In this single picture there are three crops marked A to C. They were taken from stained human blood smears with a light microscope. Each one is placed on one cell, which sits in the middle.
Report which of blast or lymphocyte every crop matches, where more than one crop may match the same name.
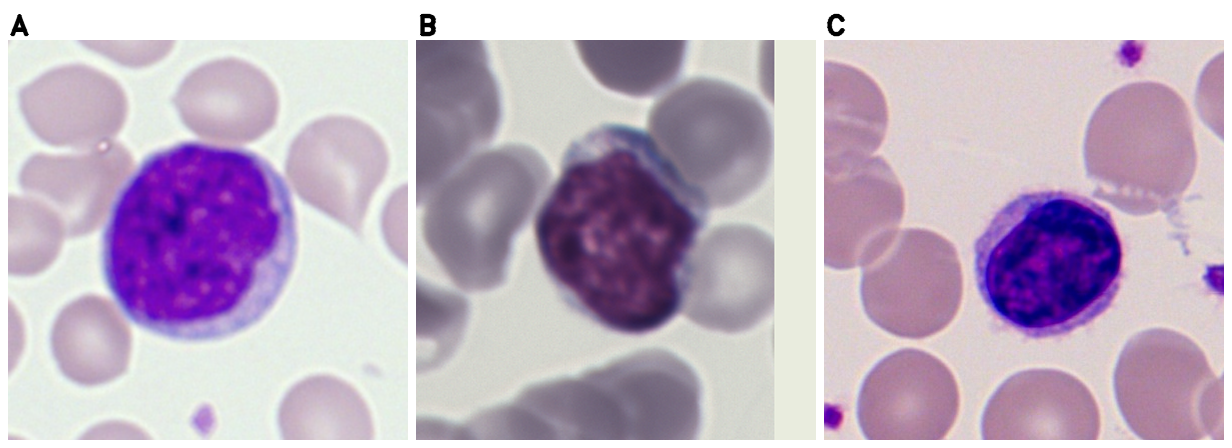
A: blast
B: lymphocyte
C: lymphocyte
